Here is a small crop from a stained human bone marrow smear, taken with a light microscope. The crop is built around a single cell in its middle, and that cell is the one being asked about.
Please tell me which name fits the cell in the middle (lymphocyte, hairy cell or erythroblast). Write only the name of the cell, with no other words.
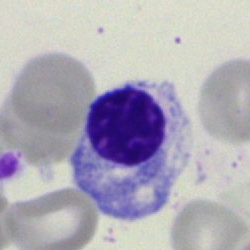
erythroblast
